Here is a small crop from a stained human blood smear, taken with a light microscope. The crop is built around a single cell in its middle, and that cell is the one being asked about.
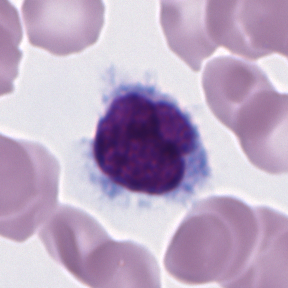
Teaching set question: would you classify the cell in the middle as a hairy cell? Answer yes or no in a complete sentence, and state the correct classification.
Yes, the crop is centred on a hairy cell.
